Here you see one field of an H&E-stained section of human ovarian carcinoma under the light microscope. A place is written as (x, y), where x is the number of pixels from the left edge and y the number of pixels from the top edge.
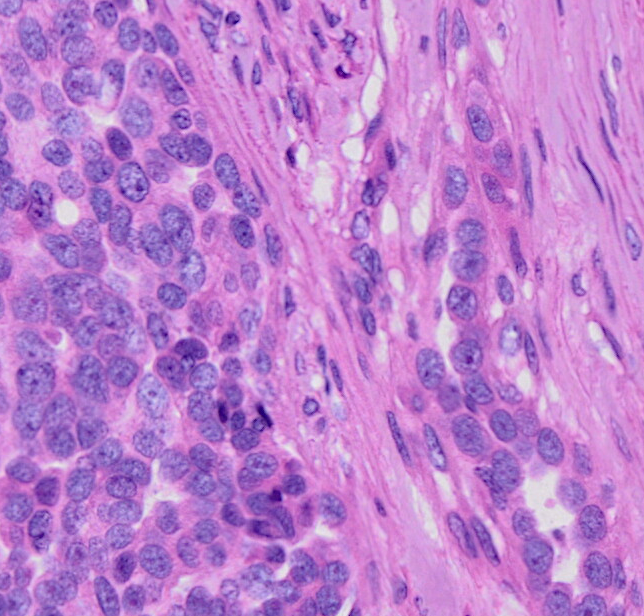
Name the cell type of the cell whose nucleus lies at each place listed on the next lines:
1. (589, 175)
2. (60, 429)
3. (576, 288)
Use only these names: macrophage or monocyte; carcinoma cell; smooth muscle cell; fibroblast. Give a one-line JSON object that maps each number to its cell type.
{"1": "fibroblast", "2": "carcinoma cell", "3": "fibroblast"}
